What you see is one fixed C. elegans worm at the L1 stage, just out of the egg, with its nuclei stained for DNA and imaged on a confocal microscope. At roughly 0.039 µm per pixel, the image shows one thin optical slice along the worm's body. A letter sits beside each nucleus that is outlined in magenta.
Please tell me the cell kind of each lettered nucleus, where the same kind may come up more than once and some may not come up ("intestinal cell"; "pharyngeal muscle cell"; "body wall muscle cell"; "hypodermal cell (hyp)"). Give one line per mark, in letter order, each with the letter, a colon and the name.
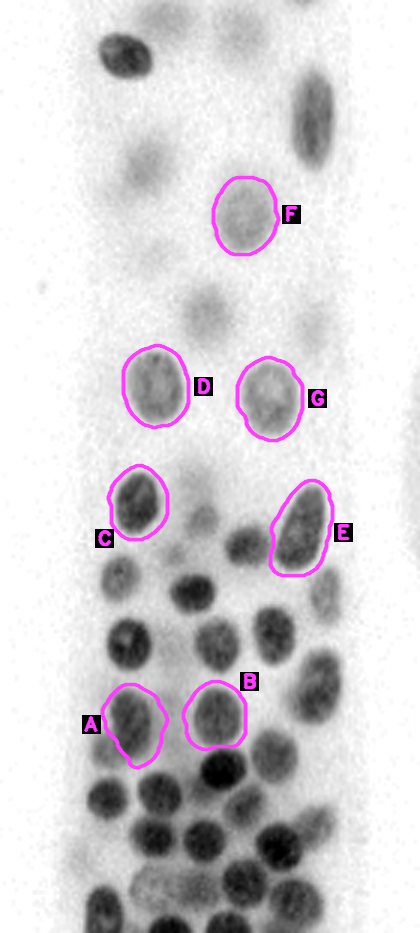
A: body wall muscle cell
B: pharyngeal muscle cell
C: body wall muscle cell
D: intestinal cell
E: body wall muscle cell
F: hypodermal cell (hyp)
G: intestinal cell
